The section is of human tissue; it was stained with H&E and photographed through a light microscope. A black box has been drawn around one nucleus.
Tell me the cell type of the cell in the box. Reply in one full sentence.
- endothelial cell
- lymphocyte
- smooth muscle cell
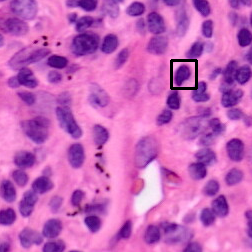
Typologically, the cell in the box is a lymphocyte in this section.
